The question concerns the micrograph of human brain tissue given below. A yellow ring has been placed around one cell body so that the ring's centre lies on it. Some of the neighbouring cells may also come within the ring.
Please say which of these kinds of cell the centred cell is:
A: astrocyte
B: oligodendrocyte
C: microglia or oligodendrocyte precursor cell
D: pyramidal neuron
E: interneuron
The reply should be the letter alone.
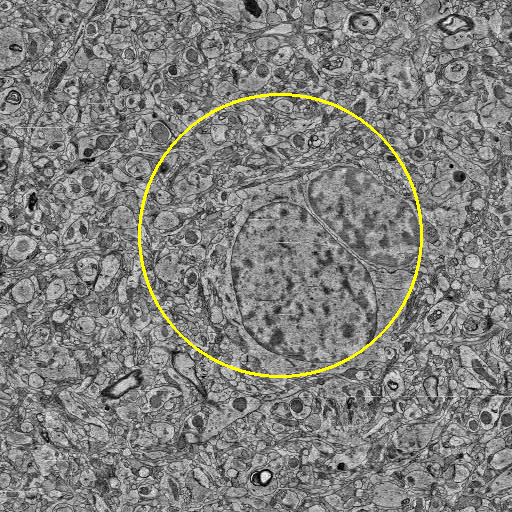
A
